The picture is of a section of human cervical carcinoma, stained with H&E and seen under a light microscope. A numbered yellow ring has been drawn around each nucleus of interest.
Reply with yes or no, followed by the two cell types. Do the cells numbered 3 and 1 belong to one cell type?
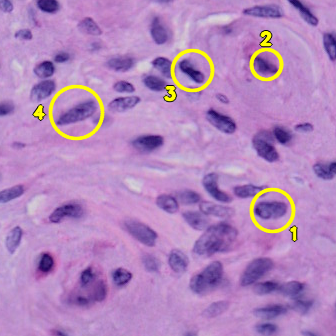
Yes, cells 3 and 1 fall into the same group, both being fibroblasts.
